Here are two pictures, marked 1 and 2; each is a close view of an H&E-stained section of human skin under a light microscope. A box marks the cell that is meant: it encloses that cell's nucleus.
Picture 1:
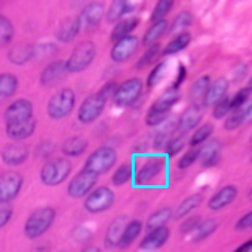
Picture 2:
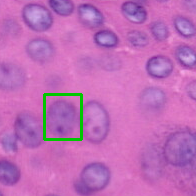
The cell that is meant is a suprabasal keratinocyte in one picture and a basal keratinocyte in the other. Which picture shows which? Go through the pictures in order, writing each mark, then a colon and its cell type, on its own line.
1: basal keratinocyte
2: suprabasal keratinocyte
